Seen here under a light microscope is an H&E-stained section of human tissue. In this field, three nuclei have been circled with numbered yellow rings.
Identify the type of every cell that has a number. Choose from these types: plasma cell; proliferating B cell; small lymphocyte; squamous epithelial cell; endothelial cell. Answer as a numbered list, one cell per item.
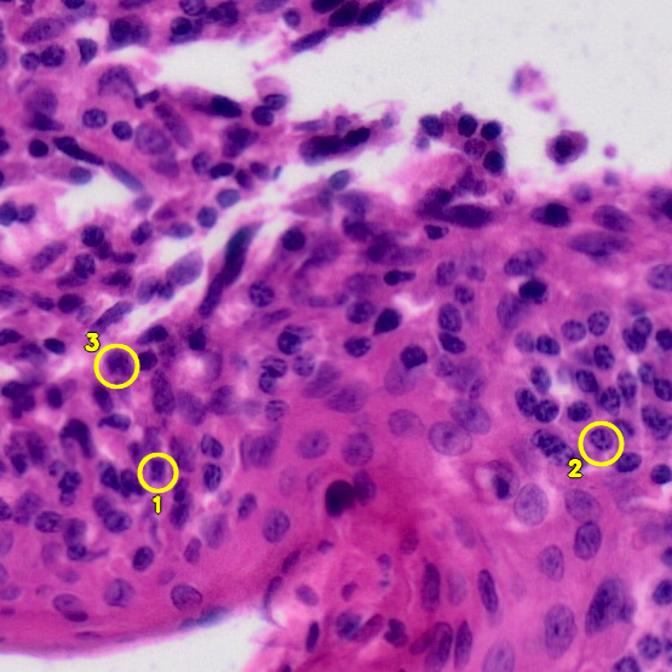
1. squamous epithelial cell
2. plasma cell
3. squamous epithelial cell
